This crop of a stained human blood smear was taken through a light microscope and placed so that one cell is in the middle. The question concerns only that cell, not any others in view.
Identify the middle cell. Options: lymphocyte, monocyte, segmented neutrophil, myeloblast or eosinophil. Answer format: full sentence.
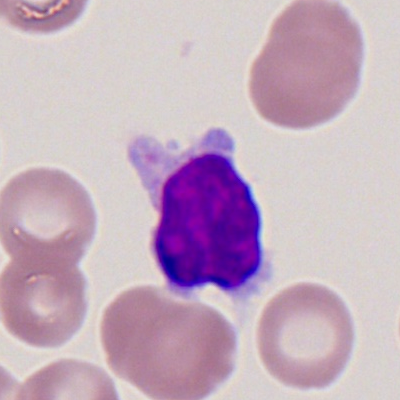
Standing at the centre of this crop is a lymphocyte.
